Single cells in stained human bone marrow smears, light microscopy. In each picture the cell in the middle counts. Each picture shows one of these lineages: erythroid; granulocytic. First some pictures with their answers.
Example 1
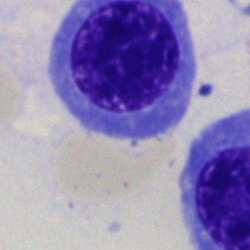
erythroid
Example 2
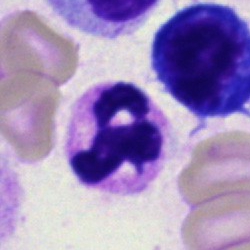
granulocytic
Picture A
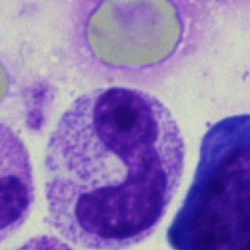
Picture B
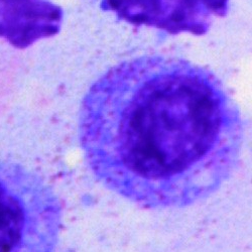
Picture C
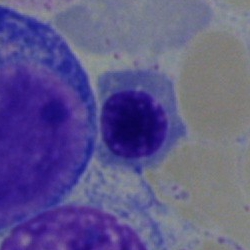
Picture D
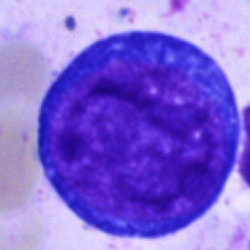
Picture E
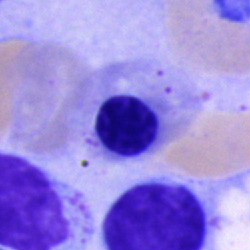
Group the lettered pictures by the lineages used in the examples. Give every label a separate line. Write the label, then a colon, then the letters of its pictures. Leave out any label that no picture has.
erythroid: C, D, E
granulocytic: A, B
